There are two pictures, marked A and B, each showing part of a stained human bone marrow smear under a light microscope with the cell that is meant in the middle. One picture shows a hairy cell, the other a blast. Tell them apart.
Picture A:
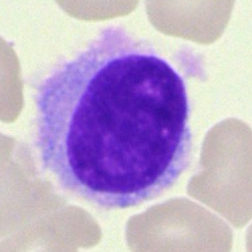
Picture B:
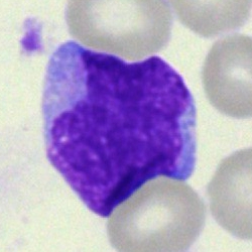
A: hairy cell
B: blast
